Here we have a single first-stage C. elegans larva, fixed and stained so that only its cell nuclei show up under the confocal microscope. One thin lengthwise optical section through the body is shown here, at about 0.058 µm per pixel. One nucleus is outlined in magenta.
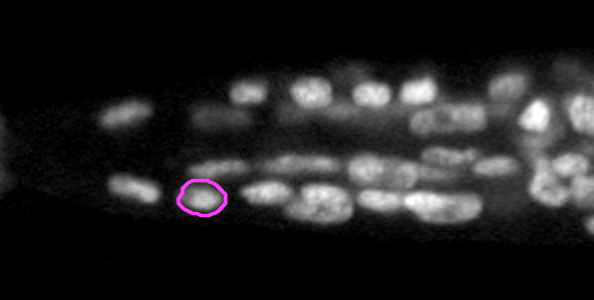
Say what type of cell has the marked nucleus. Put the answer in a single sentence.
It belongs to a hypodermal cell (hyp).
